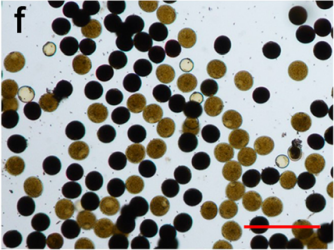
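Scattered over a clear background lie many separate, spherical pollen grains of roughly even size. Part of them are stained a deep, nearly black color throughout, while a large share are only light brown. A few grains look almost empty and pale, showing only a thin outline. The dark and the light brown grains lie mixed together at random rather than in groups.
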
